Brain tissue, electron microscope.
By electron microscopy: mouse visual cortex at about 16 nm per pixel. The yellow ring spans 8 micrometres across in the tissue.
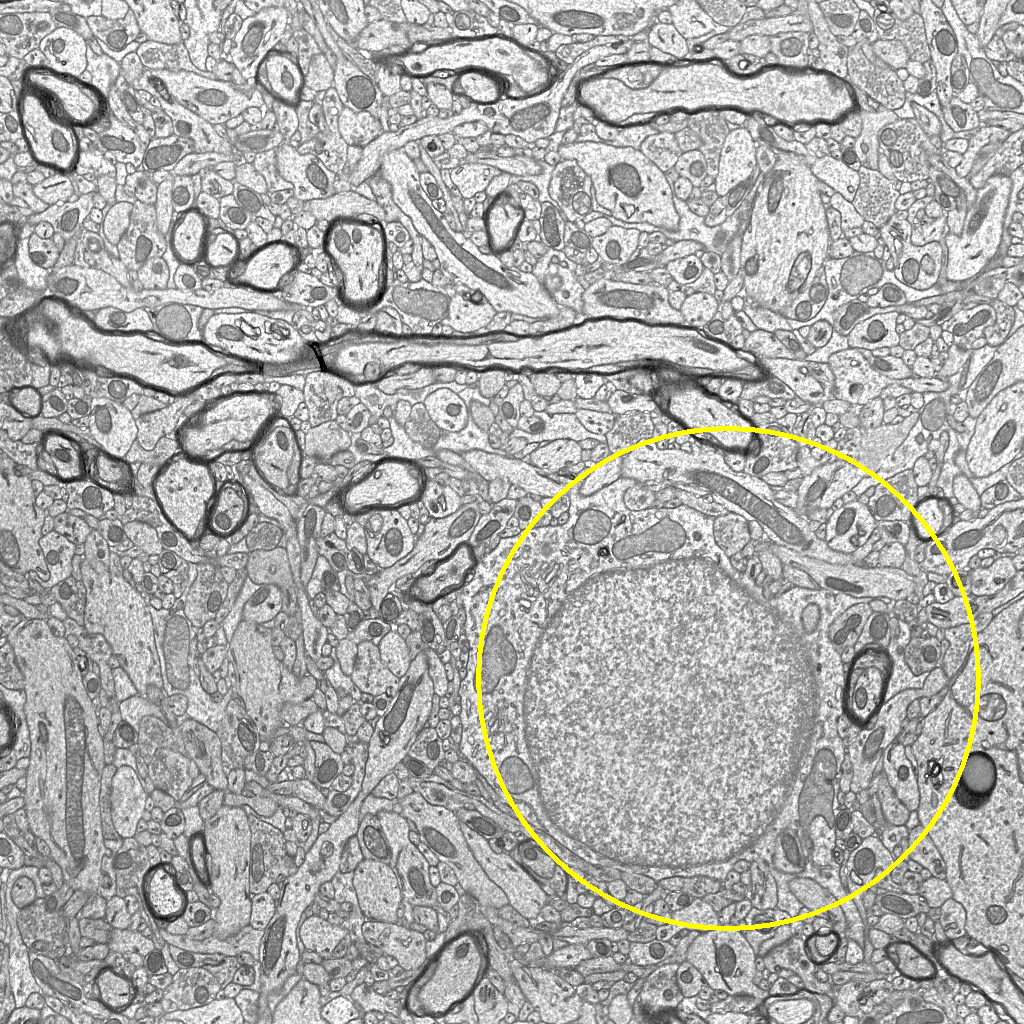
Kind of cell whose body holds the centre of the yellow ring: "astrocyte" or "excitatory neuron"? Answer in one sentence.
The ring's centre falls on an astrocyte.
